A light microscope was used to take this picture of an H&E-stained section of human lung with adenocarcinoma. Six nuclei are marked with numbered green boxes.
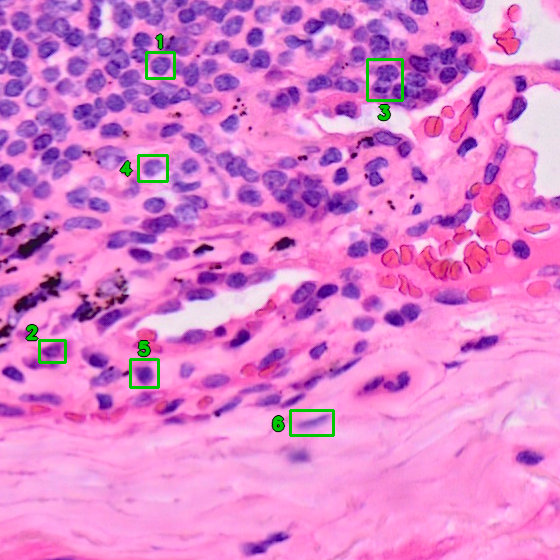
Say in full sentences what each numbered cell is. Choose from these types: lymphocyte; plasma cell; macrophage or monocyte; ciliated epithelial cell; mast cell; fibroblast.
Cells 1, 3, 4 and 5 are lymphocytes. Cell 2 is a plasma cell. Cell 6 is a fibroblast.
